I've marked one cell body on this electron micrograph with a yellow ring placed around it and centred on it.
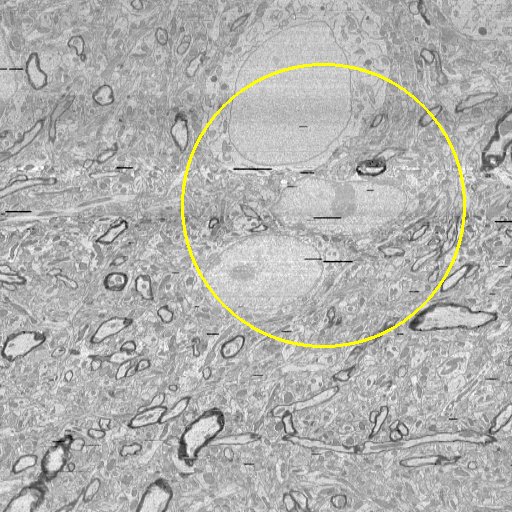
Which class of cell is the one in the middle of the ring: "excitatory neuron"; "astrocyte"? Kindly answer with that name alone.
astrocyte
